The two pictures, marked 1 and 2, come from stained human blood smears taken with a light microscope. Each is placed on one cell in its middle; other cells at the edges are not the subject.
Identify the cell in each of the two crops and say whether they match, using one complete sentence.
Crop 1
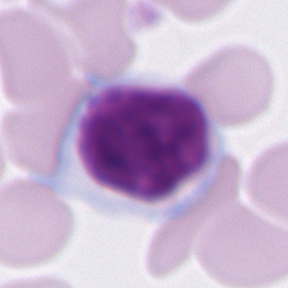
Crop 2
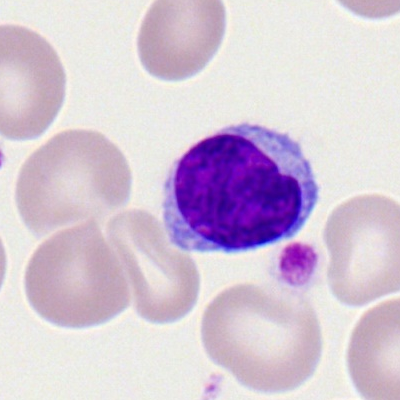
Yes, lymphocytes are the central cells in the two crops.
